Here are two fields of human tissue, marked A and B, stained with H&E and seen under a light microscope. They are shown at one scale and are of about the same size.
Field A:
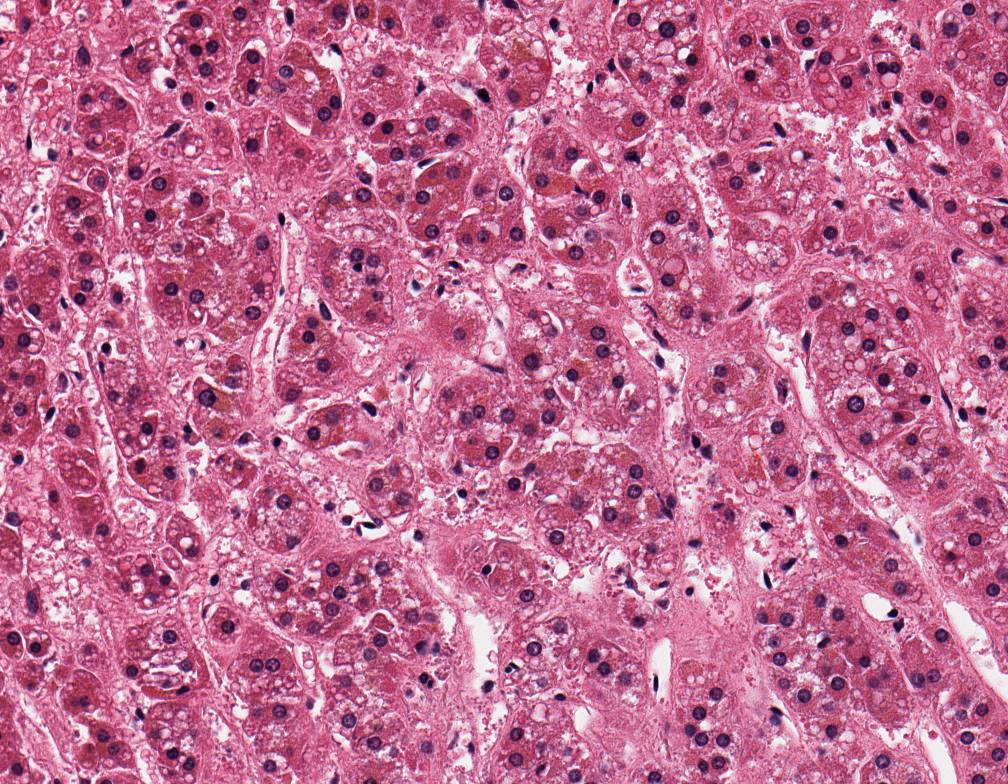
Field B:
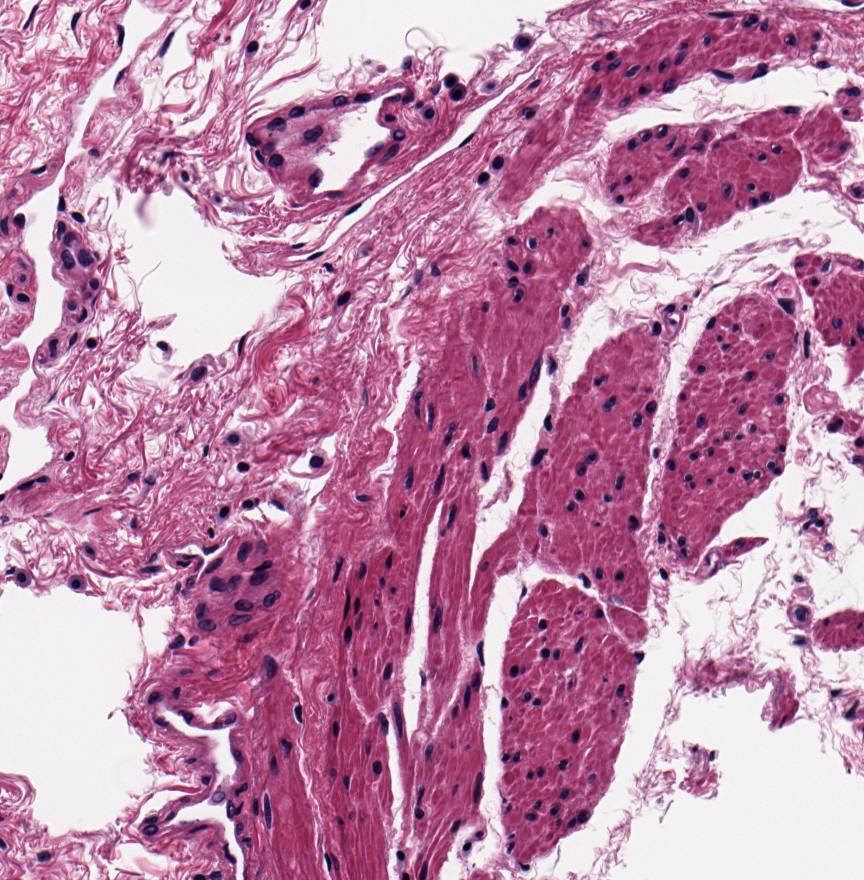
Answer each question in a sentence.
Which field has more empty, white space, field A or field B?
More of field B is empty and white.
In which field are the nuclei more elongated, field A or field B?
The nuclei are more elongated in field B.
